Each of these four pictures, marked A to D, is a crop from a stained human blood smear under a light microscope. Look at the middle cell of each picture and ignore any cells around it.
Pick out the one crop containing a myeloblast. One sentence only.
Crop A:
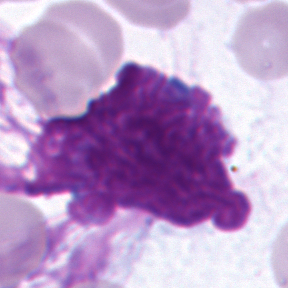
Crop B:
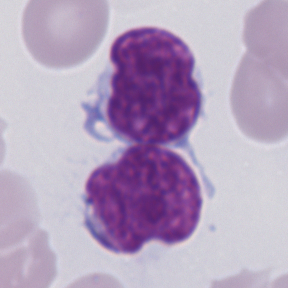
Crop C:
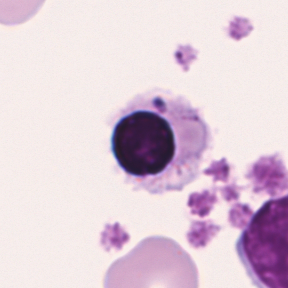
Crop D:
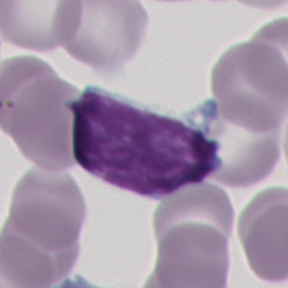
The cell at the center of crop B is the one that is a myeloblast.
